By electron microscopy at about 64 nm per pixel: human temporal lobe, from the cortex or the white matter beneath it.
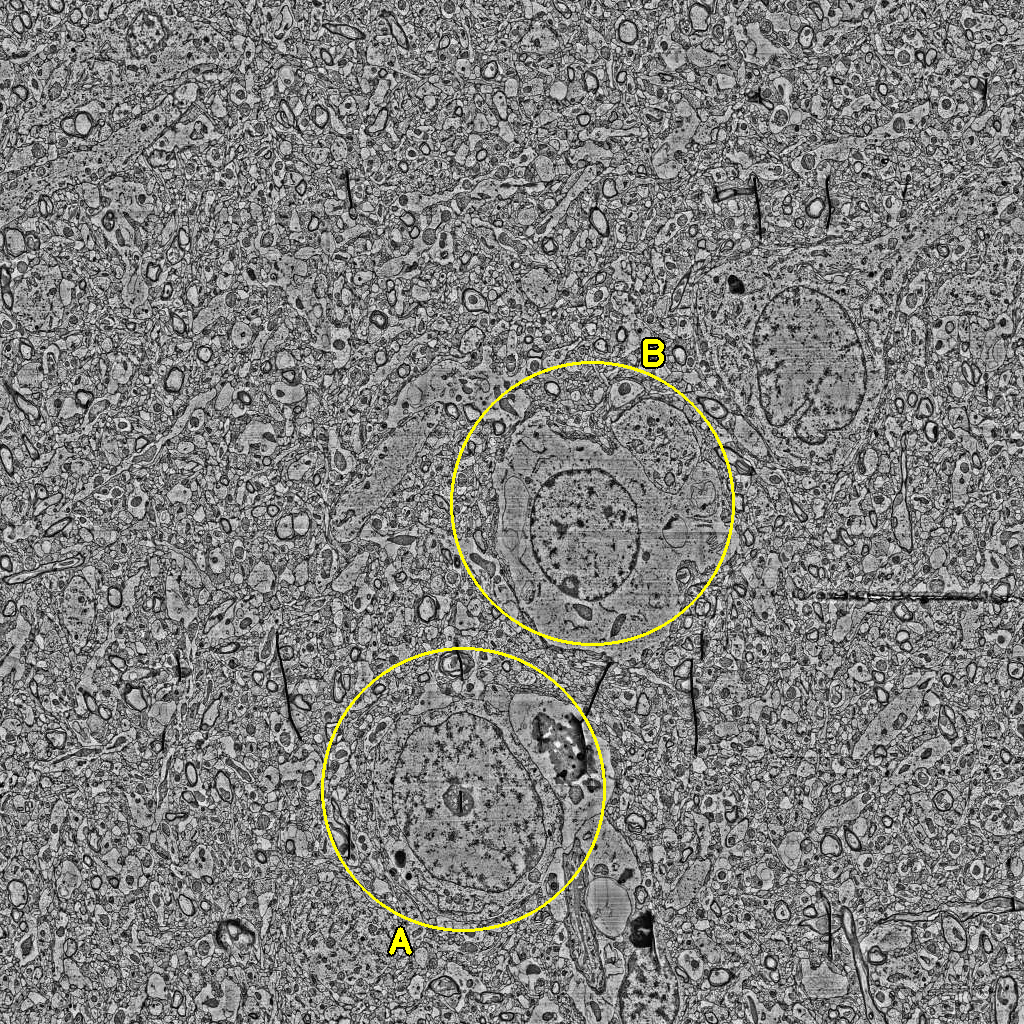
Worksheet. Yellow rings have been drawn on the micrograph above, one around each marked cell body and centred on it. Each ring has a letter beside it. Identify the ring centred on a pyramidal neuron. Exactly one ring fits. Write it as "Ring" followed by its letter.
Ring A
